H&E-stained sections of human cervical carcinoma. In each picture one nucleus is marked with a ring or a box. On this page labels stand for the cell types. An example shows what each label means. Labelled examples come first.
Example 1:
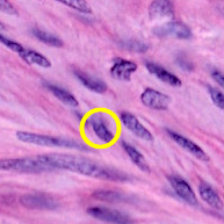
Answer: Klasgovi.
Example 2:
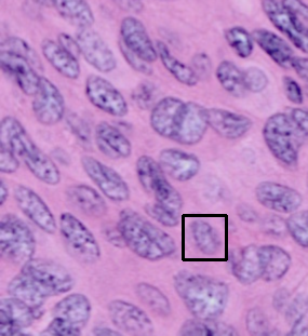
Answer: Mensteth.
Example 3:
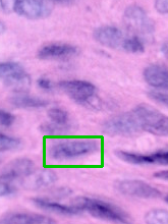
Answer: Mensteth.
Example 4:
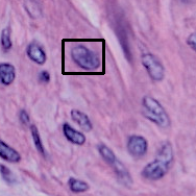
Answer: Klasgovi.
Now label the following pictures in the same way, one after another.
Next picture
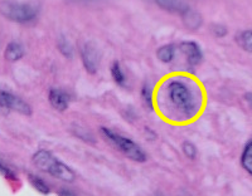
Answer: Klasgovi.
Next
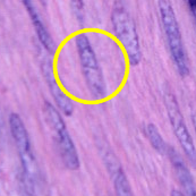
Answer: Klasgovi.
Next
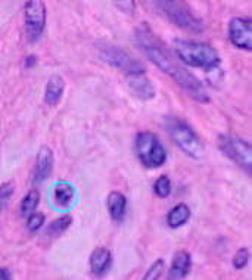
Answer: Klasgovi.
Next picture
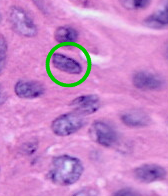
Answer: Mensteth.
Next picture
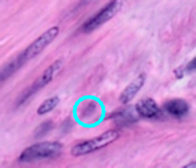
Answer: Klasgovi.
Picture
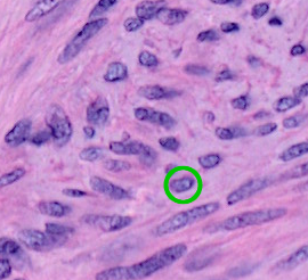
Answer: Klasgovi.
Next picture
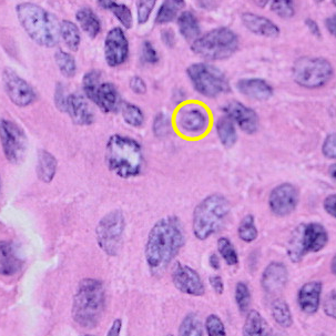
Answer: Mensteth.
